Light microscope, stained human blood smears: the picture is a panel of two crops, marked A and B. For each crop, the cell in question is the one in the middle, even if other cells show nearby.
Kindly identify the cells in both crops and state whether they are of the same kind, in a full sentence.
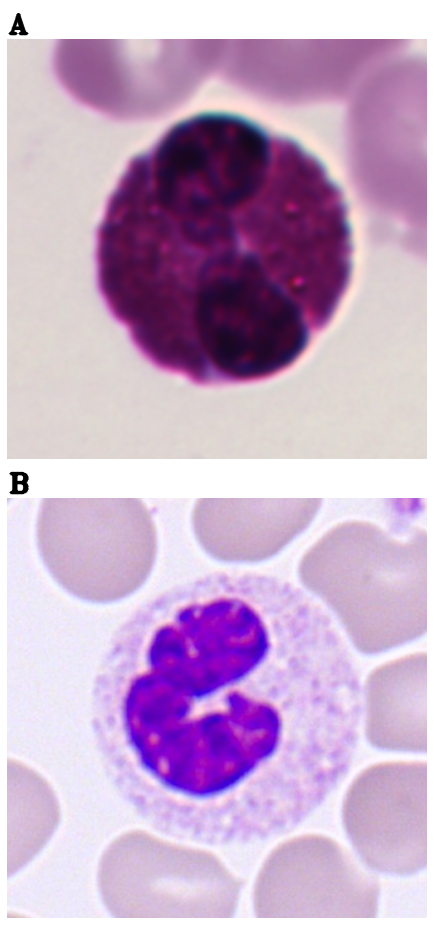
No, crop A contains an eosinophil; a band neutrophil is what crop B contains.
